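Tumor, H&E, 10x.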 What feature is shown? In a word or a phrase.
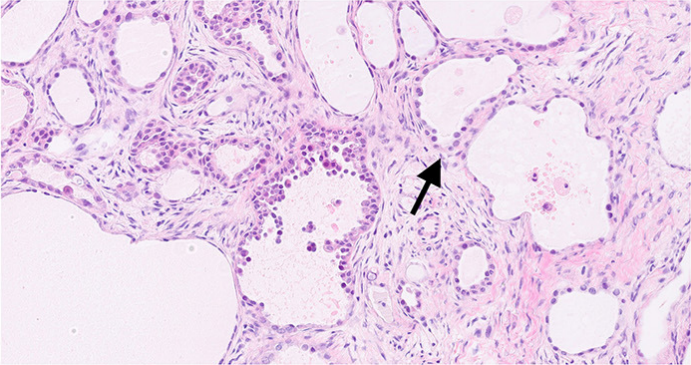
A: Dilated cysts lined by flattened cells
